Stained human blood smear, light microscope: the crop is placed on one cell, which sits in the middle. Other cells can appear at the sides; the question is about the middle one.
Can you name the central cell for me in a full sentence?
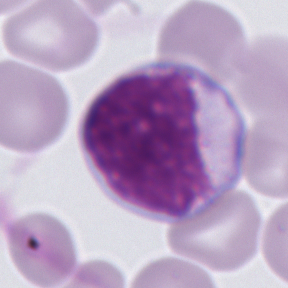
The middle position in this crop is taken by a large granular lymphocyte.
